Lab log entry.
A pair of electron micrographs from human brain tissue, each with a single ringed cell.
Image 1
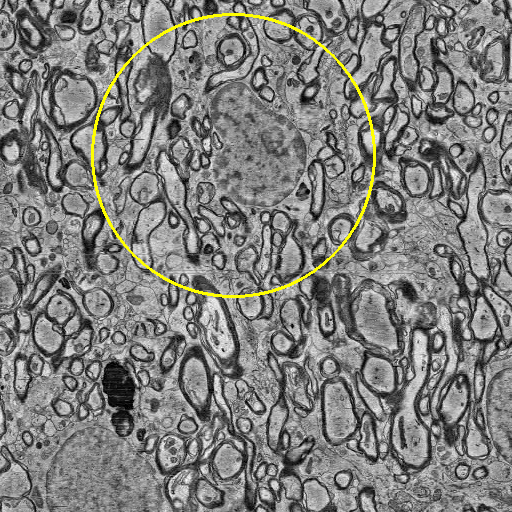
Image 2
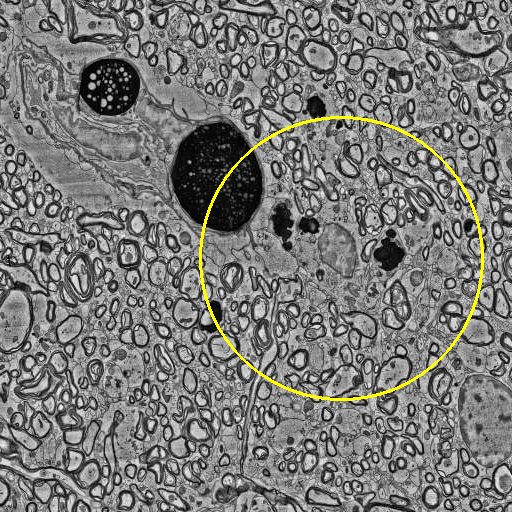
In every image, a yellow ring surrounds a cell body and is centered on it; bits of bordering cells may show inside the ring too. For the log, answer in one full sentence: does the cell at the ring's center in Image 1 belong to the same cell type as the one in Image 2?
No, the cells at the ring centers in Image 1 and Image 2 are of separate types.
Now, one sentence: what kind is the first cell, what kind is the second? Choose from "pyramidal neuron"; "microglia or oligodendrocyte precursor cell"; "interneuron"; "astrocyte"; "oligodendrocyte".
The first picture has a microglial cell or oligodendrocyte precursor cell at its ring centre, and the second has an oligodendrocyte.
